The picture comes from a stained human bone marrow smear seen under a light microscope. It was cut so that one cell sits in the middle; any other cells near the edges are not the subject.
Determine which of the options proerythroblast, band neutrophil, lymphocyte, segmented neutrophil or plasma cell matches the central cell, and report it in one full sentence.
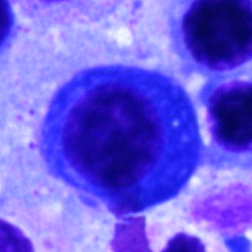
Classified as a plasma cell is the cell in the middle of this crop.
